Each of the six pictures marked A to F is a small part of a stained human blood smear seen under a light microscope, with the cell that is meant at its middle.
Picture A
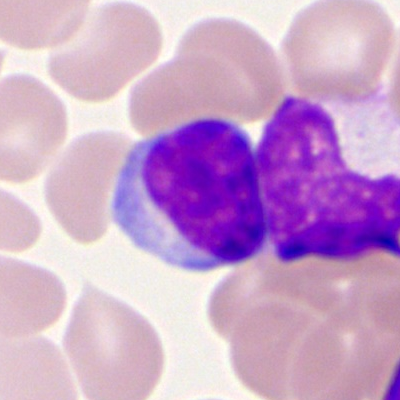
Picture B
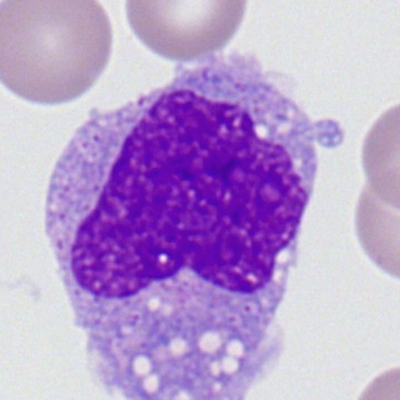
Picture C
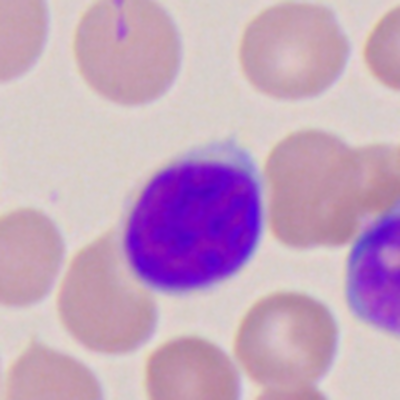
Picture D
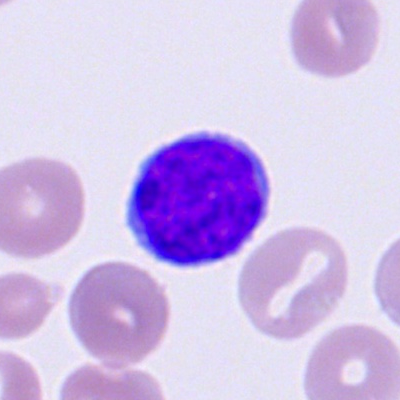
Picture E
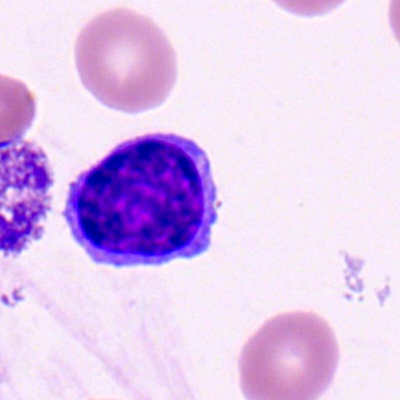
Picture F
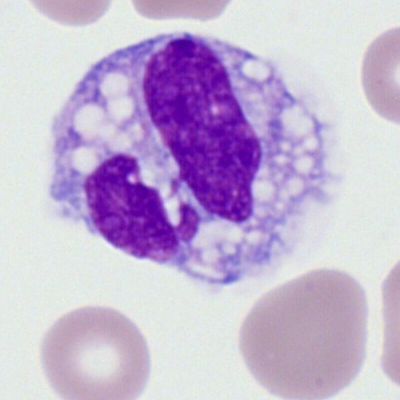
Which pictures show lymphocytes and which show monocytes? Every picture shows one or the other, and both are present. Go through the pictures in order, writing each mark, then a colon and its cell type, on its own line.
A: lymphocyte
B: monocyte
C: lymphocyte
D: lymphocyte
E: lymphocyte
F: monocyte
